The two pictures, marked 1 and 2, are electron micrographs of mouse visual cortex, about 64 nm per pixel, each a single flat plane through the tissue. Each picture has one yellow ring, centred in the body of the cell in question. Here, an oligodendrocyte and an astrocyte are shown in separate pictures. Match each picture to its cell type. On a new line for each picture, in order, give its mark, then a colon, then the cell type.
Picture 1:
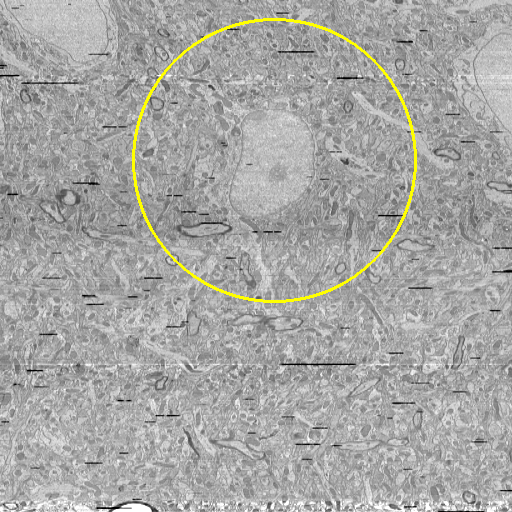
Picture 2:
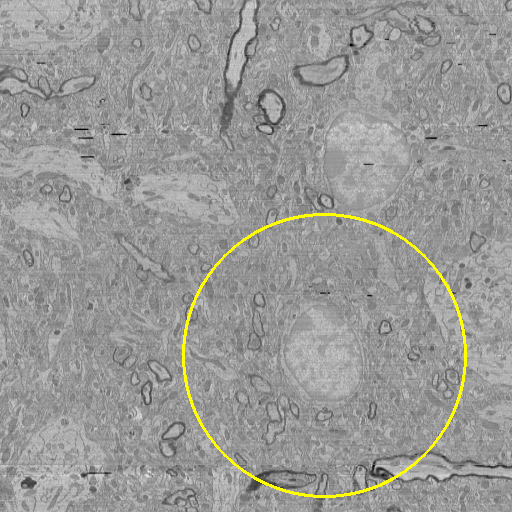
1: astrocyte
2: oligodendrocyte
